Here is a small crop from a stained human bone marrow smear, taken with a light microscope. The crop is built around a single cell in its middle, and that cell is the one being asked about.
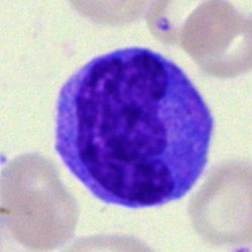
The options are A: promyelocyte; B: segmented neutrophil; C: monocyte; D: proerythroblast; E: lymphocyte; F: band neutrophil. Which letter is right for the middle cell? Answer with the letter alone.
C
